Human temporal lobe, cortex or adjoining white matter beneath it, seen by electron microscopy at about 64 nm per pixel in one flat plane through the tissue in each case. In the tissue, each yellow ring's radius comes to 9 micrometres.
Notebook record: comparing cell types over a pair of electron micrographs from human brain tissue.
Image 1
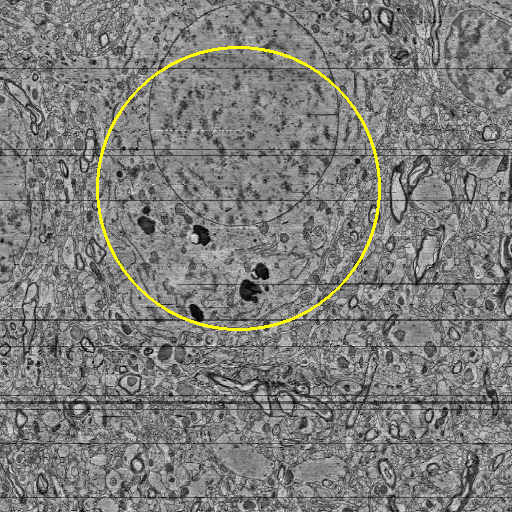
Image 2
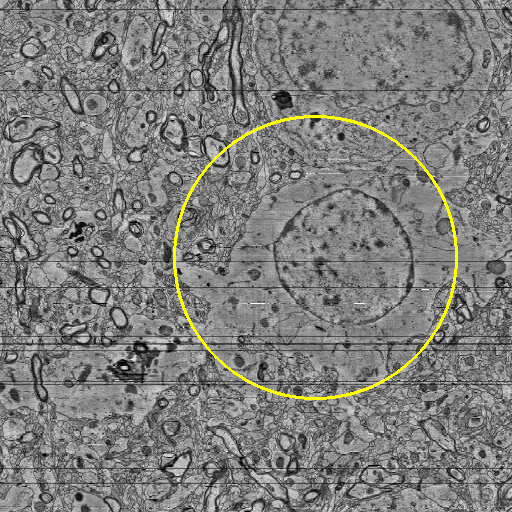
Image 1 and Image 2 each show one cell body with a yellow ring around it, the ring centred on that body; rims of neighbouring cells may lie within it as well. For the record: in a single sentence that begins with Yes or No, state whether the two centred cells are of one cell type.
No, two cell types are found among the centred cells of Image 1 and Image 2.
